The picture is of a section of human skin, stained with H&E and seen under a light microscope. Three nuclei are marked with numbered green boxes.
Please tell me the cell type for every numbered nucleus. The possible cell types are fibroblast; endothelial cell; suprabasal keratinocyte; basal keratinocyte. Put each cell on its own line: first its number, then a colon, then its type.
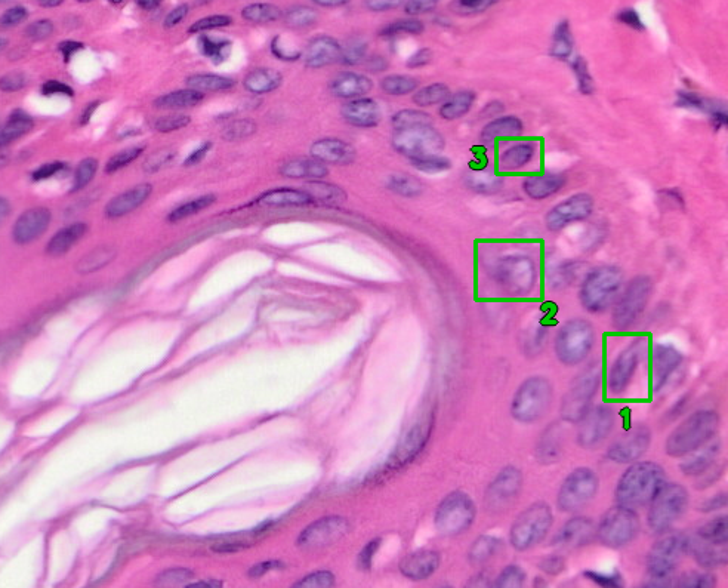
1: basal keratinocyte
2: suprabasal keratinocyte
3: basal keratinocyte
